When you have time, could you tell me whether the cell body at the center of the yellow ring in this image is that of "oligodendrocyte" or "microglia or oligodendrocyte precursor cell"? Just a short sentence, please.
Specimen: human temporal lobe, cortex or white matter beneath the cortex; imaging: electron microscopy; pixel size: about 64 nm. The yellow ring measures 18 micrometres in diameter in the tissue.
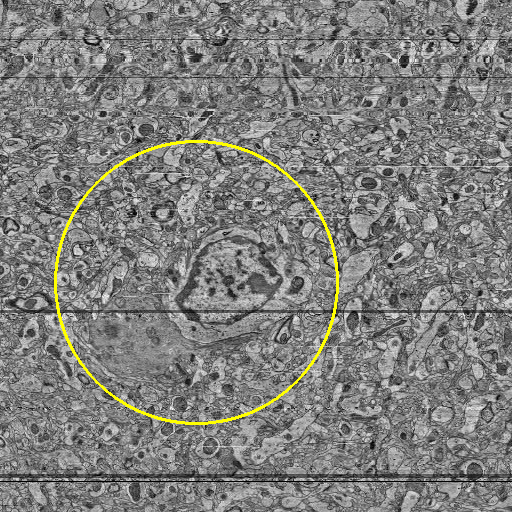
The cell body at the center of the ring is that of a microglial cell or oligodendrocyte precursor cell.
